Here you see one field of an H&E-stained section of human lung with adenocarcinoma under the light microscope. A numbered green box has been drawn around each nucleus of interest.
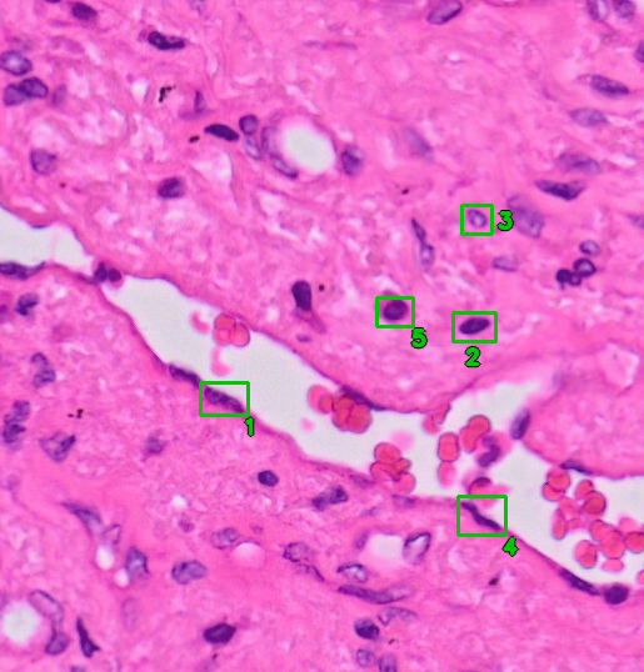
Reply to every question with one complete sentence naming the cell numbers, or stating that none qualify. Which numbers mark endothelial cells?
The cells given the numbers 1 and 4 are endothelial cells.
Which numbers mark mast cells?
It is only cell 3 that is a mast cell among the numbered cells.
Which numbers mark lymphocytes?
Across all the numbered cells, only number 2 is a lymphocyte.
